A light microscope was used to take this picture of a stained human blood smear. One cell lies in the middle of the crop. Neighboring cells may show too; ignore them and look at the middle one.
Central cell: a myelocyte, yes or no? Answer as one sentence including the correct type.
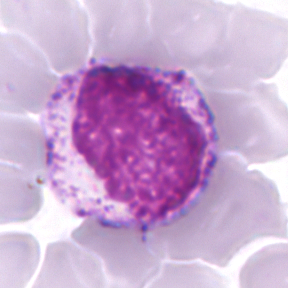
Yes, the middle of the crop is occupied by a myelocyte.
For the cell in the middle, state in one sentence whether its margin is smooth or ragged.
This cell does not have a smooth edge; it is ragged or extended into projections.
